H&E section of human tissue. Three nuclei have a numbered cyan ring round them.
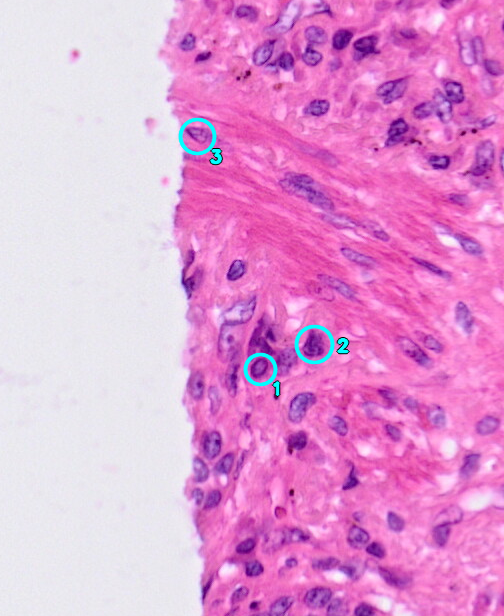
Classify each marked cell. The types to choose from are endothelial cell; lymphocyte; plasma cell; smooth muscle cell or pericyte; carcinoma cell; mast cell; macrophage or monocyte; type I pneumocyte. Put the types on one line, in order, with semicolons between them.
plasma cell; plasma cell; smooth muscle cell or pericyte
